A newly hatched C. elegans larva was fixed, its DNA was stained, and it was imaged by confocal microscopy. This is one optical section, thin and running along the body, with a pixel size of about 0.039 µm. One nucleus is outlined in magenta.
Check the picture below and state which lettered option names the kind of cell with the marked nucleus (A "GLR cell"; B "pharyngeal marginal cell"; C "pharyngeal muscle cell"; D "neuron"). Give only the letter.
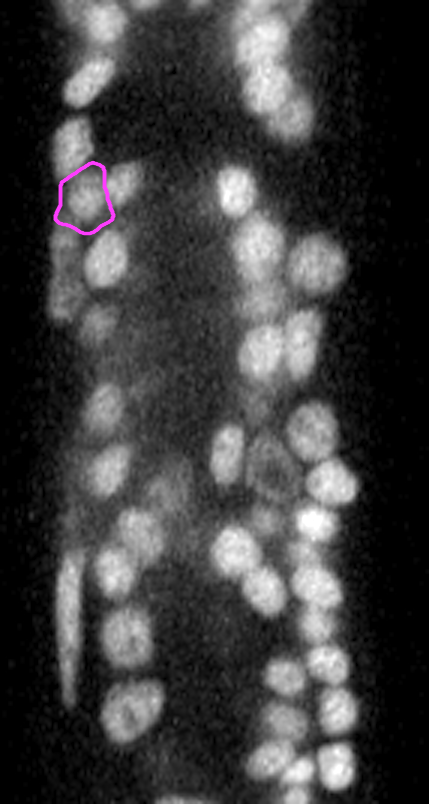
D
